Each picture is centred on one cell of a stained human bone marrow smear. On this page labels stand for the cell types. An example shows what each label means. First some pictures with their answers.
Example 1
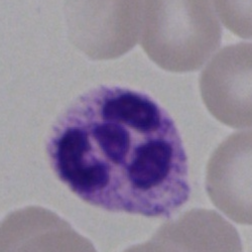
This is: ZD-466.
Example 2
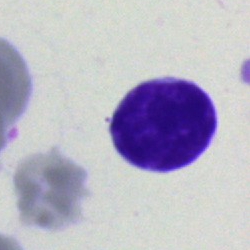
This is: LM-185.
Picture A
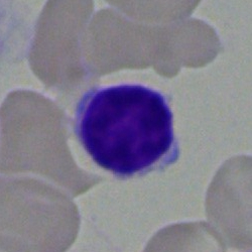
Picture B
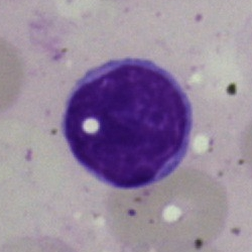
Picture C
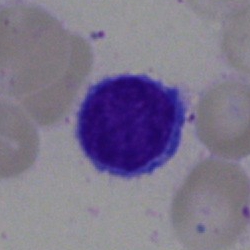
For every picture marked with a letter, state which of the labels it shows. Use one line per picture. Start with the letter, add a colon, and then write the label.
A: LM-185.
B: LM-185.
C: LM-185.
